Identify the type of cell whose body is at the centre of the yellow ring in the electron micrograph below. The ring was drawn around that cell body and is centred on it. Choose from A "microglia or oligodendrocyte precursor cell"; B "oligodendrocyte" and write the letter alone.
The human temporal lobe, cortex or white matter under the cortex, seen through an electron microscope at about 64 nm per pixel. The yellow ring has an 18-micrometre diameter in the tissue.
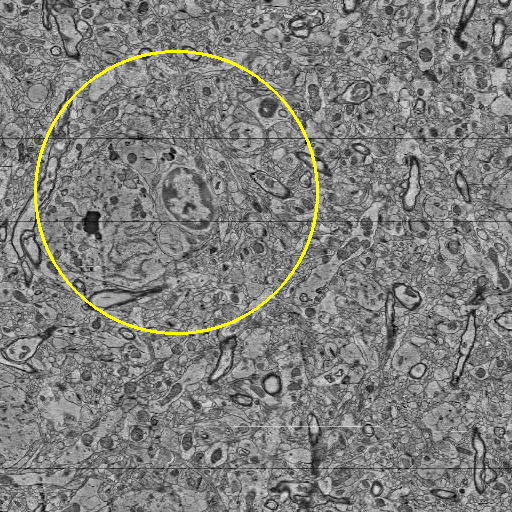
A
